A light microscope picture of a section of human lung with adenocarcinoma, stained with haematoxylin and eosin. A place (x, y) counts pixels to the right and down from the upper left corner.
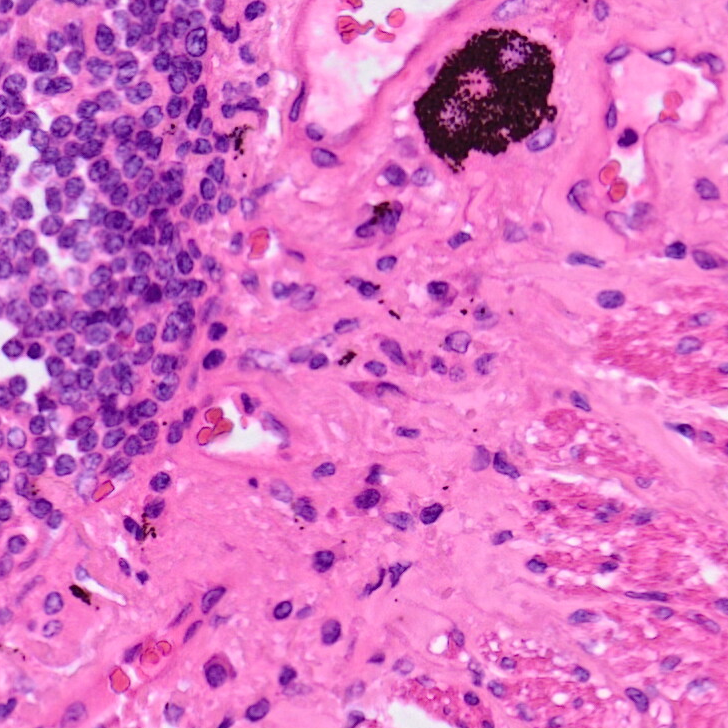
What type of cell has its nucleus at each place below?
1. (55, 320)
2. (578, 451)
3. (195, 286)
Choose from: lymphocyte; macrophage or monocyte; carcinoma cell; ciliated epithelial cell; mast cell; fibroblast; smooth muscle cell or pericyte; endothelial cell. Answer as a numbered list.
1. lymphocyte
2. smooth muscle cell or pericyte
3. lymphocyte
